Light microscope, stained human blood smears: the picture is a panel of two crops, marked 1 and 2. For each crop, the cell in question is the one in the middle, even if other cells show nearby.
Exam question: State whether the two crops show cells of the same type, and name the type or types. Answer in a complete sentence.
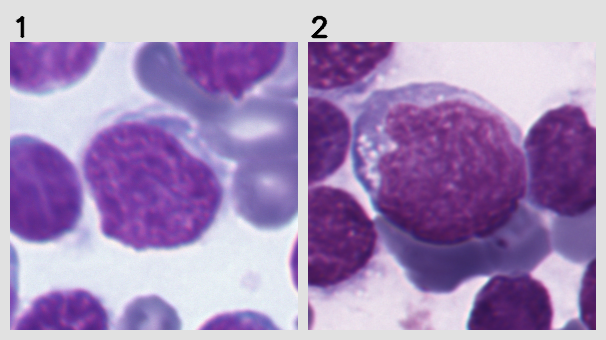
Yes, in the case of both crops, the central cells are blasts.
